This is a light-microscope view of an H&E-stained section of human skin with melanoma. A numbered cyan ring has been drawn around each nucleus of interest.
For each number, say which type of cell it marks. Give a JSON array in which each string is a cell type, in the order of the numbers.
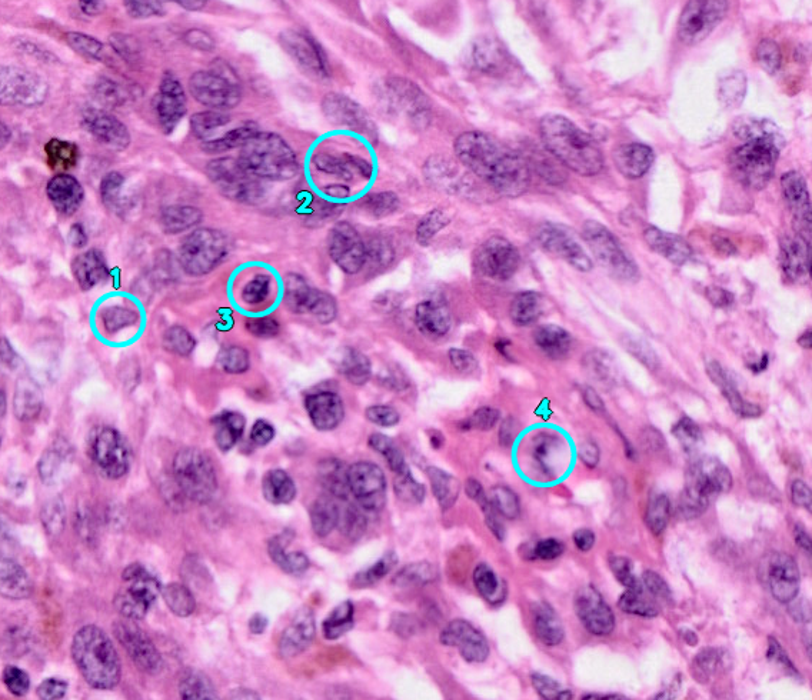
["macrophage or monocyte", "melanoma cell", "lymphocyte", "endothelial cell"]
